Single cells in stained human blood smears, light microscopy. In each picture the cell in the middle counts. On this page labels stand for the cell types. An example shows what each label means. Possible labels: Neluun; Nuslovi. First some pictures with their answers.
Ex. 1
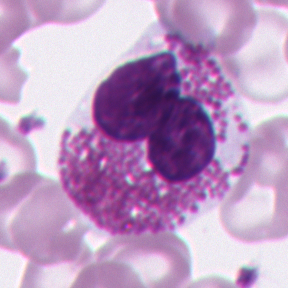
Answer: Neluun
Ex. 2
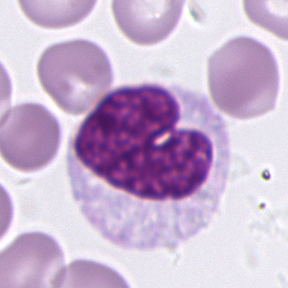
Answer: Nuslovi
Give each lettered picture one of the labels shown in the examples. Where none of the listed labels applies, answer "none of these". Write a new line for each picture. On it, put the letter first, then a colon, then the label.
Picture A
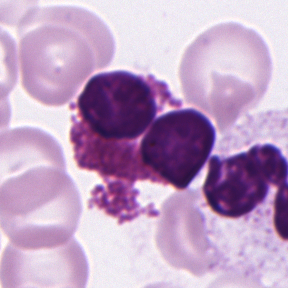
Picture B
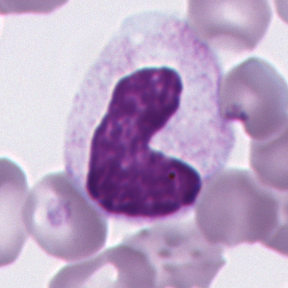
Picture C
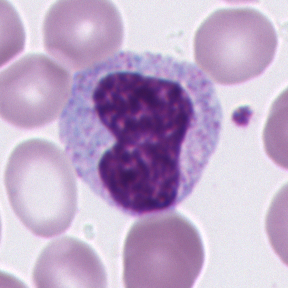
A: Neluun
B: Nuslovi
C: Nuslovi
